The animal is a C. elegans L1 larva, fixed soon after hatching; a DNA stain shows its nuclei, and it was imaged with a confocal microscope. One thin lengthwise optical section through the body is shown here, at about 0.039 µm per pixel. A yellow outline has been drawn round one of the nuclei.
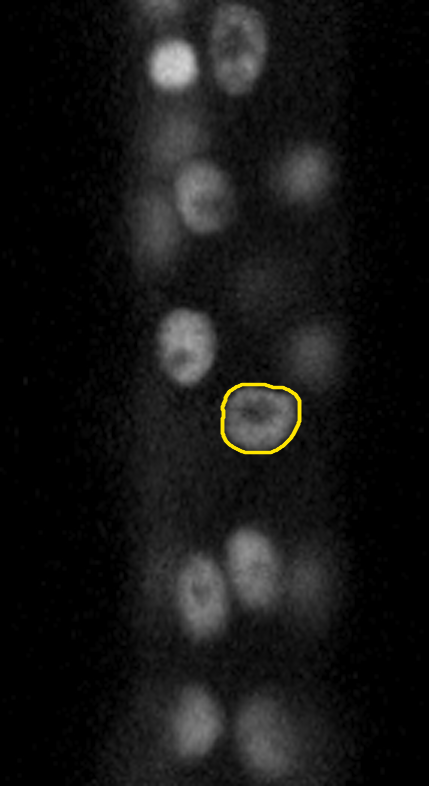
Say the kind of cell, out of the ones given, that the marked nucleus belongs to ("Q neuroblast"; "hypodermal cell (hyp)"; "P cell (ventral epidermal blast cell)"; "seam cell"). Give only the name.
hypodermal cell (hyp)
